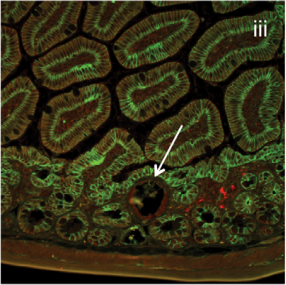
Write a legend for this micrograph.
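This is small intestine cut across its villi: the upper half shows rounded villus cross-sections, each lined by a single layer of columnar epithelial cells outlined in green around a central core. Below them lie small round crypts above a thin muscle layer. Where the arrow points, one crypt-like structure is dark and lacks the green outline of its neighbours. Nearby, small bright red cells are scattered among the crypts in the surrounding connective tissue, more densely to the right of the arrow.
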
